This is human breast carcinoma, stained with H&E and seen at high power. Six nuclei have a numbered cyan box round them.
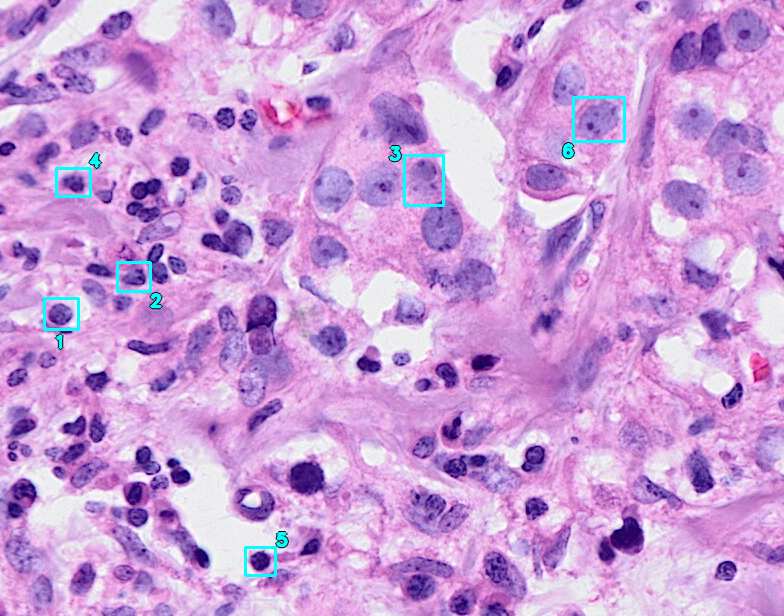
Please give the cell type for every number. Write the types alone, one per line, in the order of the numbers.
lymphocyte
lymphocyte
carcinoma cell
lymphocyte
lymphocyte
carcinoma cell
